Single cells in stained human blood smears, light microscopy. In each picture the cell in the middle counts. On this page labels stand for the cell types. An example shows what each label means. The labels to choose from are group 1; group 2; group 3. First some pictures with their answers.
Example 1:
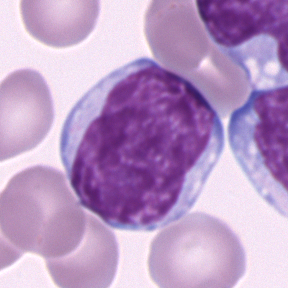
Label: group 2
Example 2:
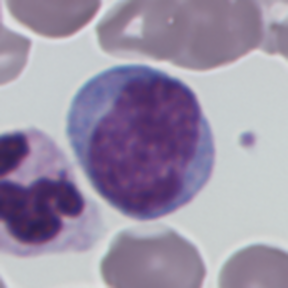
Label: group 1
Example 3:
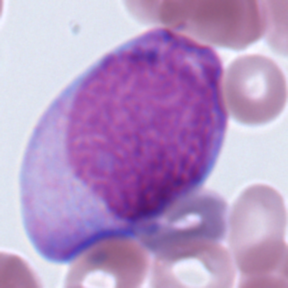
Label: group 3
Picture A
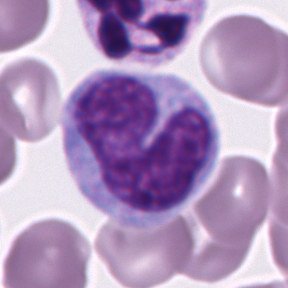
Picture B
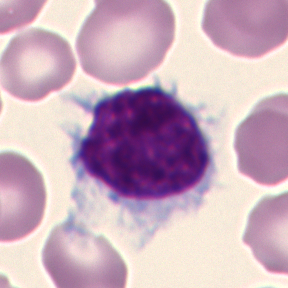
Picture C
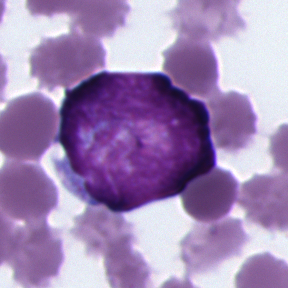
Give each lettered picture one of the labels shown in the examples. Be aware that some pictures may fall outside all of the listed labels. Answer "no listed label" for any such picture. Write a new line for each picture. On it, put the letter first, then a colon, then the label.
A: group 1
B: no listed label
C: group 2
